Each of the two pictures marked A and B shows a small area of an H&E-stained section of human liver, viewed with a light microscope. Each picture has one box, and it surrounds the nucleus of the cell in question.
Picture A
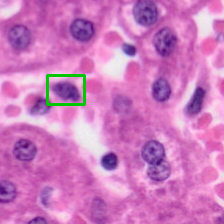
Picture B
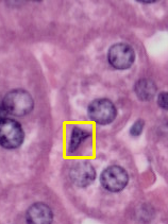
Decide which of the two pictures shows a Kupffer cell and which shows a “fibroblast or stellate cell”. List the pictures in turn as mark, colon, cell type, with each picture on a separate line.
A: Kupffer cell
B: fibroblast or stellate cell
